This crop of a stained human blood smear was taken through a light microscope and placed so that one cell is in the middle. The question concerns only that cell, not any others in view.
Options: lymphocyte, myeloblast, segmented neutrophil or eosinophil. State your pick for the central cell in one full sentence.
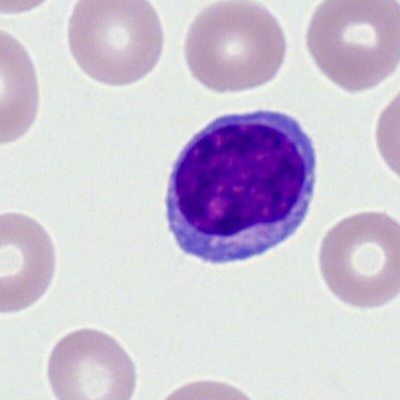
For this crop, the central cell is a lymphocyte.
